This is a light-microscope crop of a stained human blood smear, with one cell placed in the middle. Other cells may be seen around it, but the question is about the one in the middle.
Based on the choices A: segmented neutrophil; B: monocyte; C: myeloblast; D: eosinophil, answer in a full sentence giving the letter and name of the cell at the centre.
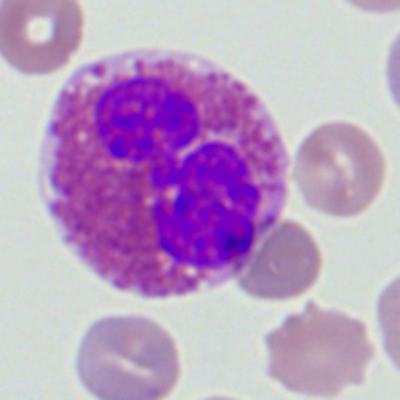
Since the middle cell is an eosinophil, option D is the right one.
